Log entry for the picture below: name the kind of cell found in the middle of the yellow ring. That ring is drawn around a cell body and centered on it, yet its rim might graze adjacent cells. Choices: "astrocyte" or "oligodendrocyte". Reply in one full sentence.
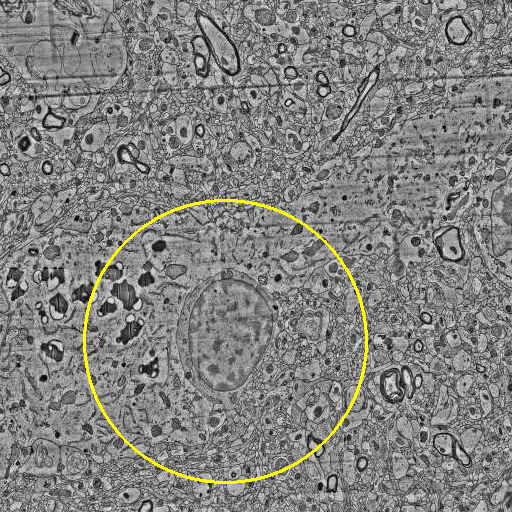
The cell in the middle of the yellow ring in this picture is an oligodendrocyte.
